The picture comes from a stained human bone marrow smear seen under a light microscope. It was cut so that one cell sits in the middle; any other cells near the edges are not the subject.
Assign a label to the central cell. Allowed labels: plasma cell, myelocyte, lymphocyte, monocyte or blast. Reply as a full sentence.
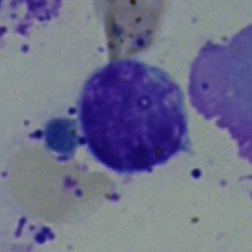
The centrally placed cell is classified as a lymphocyte.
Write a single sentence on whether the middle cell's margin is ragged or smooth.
The cell outline lacks smoothness, being ragged or extended into projections.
